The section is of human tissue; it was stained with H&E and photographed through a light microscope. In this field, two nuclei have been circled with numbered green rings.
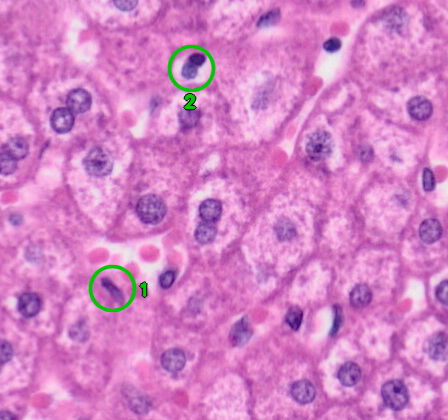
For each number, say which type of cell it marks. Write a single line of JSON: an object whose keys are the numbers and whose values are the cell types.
{"1": "fibroblast or stellate cell", "2": "lymphocyte"}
